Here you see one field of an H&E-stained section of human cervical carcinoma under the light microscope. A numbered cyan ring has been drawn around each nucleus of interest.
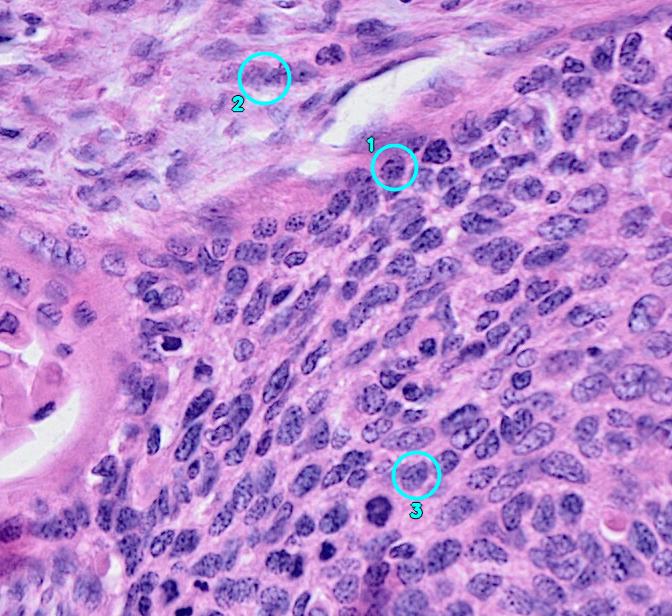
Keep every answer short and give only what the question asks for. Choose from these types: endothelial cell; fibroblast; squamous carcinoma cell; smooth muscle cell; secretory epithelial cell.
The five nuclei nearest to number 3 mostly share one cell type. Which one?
squamous carcinoma cell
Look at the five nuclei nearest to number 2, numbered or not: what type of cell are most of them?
fibroblast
